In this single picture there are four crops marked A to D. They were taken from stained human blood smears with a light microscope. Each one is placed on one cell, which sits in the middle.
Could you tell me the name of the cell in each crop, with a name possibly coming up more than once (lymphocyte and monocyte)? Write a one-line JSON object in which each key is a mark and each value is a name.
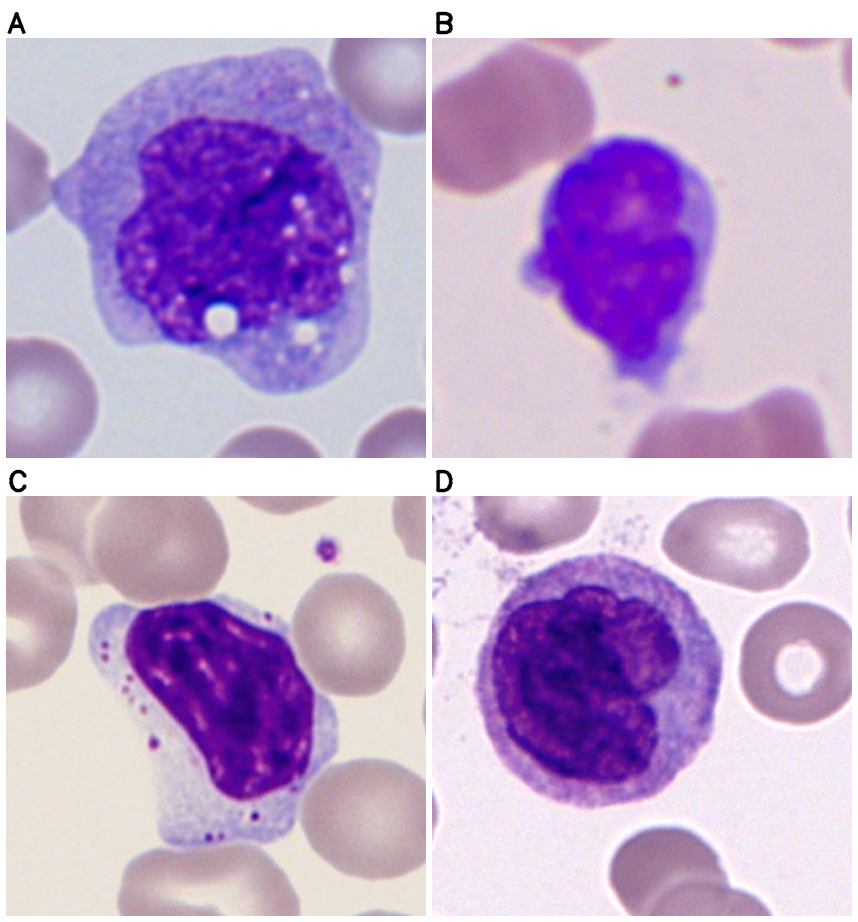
{"A": "monocyte", "B": "monocyte", "C": "lymphocyte", "D": "monocyte"}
